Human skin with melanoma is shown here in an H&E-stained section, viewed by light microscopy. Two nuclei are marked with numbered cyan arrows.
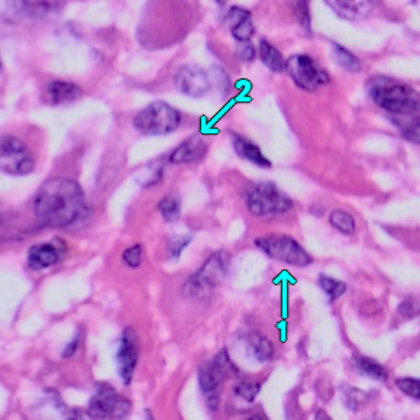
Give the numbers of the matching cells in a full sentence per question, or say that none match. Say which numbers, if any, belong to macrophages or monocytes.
Unlike the other numbered cells, cell 1 is a macrophage or monocyte.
